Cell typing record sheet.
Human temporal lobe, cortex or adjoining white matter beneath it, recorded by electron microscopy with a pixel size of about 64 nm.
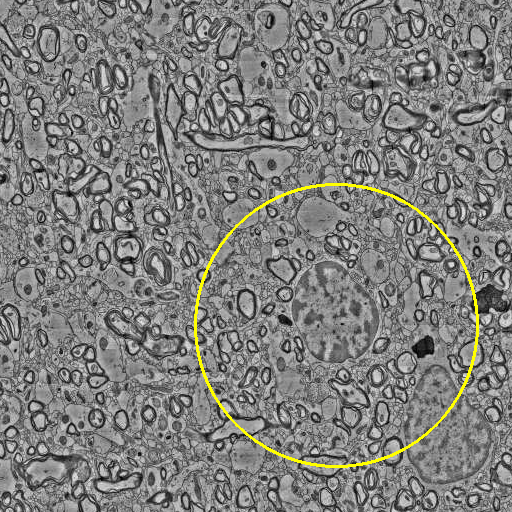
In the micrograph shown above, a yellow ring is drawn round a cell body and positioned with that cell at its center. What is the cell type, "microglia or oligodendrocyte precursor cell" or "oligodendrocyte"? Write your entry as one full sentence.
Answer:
The cell body at the center of the ring belongs to a microglial cell or oligodendrocyte precursor cell.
